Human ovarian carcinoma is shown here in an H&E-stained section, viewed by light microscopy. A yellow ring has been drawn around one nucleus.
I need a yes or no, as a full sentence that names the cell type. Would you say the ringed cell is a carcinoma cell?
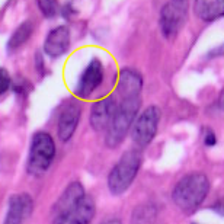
Yes, the ringed cell has been classified as a carcinoma cell.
